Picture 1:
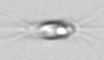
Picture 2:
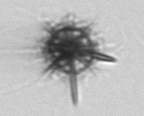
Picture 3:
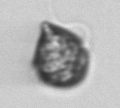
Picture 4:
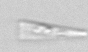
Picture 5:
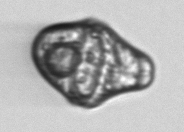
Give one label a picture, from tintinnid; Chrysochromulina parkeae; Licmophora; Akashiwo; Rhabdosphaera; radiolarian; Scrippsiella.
1: Chrysochromulina parkeae
2: radiolarian
3: Scrippsiella
4: Licmophora
5: Akashiwo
